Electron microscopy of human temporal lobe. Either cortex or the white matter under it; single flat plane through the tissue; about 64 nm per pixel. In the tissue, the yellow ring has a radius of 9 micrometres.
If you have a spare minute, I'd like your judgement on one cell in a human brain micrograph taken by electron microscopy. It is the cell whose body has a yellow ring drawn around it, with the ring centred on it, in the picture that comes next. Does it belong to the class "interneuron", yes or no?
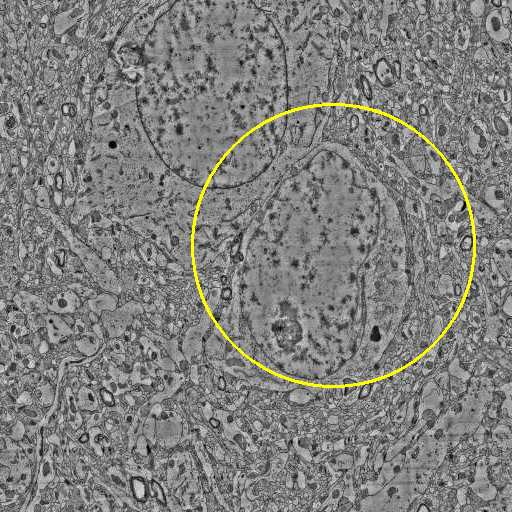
Yes, it belongs to that class.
